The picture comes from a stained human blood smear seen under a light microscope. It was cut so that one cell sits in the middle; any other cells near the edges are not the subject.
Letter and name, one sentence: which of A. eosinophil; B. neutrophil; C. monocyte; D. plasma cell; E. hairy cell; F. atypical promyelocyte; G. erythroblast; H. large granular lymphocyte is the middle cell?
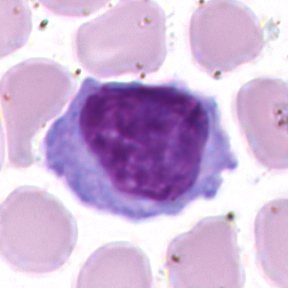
The correct option here is D; the middle cell is a plasma cell.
